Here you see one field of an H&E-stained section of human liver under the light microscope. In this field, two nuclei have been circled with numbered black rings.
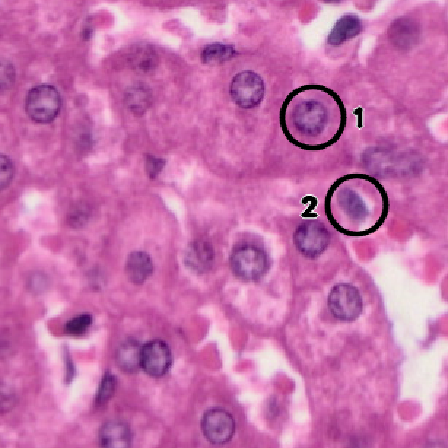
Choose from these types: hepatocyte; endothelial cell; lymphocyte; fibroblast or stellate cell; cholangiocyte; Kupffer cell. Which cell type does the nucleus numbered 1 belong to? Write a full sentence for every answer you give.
To a hepatocyte belongs the nucleus marked 1.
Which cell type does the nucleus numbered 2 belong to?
Here, the cell given the number 2 is an endothelial cell.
